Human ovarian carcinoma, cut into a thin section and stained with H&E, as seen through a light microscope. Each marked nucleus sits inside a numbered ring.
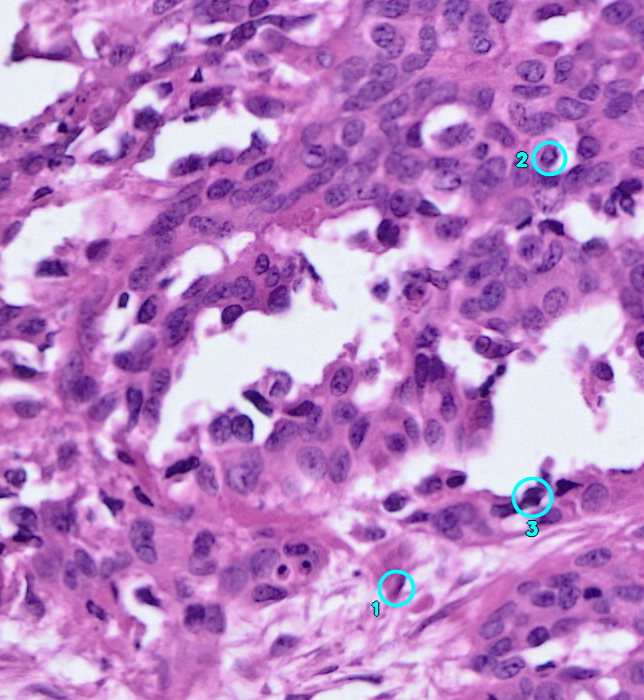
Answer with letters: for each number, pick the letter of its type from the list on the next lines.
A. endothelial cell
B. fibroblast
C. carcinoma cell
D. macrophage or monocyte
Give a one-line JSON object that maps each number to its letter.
{"1": "B", "2": "D", "3": "C"}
